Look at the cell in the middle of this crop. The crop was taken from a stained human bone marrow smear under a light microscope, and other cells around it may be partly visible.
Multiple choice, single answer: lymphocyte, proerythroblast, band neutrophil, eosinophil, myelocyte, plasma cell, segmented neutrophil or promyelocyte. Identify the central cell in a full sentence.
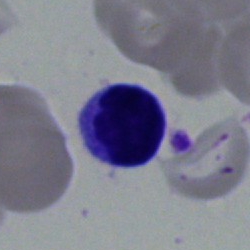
The crop centres on a single cell, and that cell is a lymphocyte.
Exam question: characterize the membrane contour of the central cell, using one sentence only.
Edge check done: smooth outline, no projections present.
